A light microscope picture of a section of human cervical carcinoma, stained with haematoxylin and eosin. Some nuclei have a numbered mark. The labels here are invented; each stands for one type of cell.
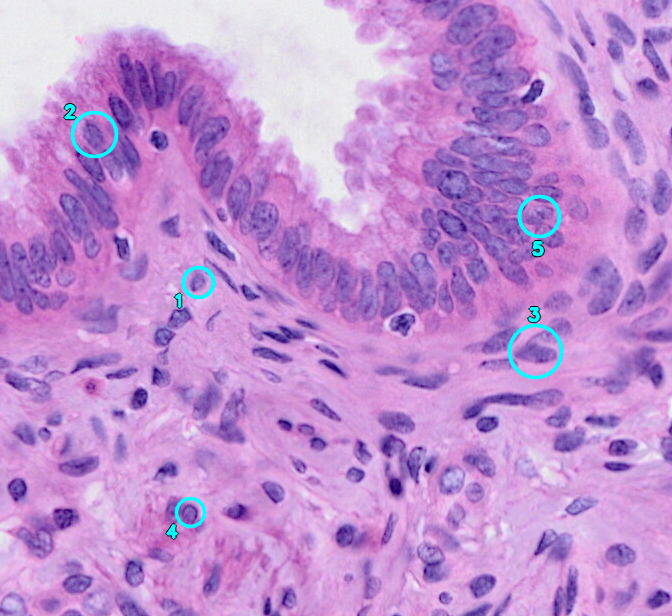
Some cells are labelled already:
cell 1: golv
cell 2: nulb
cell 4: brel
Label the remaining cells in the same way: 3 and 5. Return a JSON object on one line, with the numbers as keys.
{"3": "golv", "5": "nulb"}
